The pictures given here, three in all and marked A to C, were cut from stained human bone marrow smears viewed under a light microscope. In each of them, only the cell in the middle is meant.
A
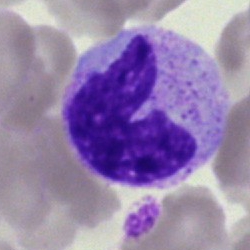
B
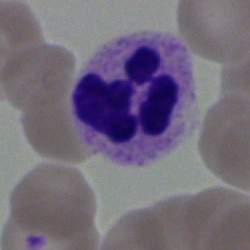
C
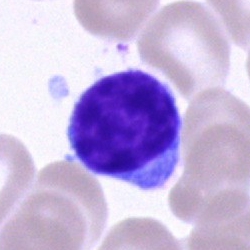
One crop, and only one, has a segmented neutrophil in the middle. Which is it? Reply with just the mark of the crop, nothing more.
B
